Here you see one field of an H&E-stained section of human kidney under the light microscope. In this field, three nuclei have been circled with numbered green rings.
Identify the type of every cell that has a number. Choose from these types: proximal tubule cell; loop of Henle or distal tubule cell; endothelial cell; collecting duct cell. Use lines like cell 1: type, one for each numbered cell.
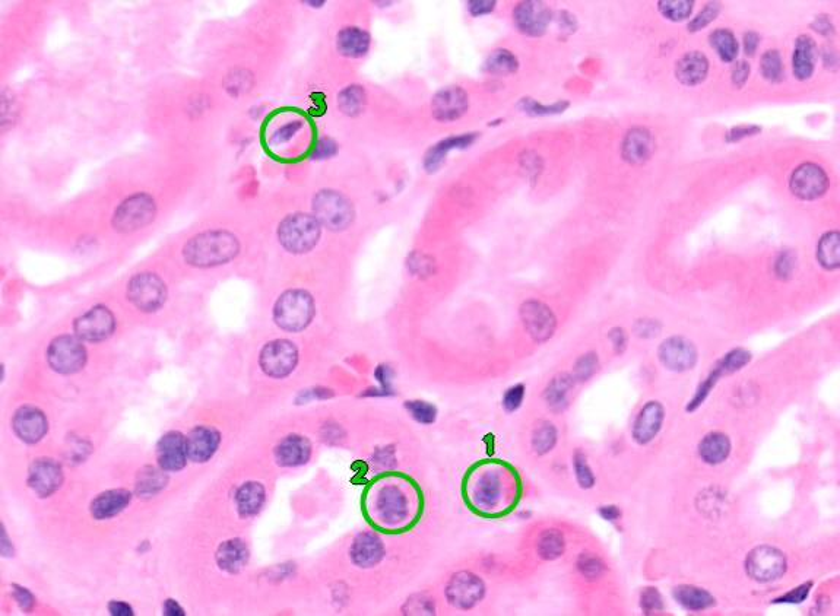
cell 1: endothelial cell
cell 2: loop of Henle or distal tubule cell
cell 3: endothelial cell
